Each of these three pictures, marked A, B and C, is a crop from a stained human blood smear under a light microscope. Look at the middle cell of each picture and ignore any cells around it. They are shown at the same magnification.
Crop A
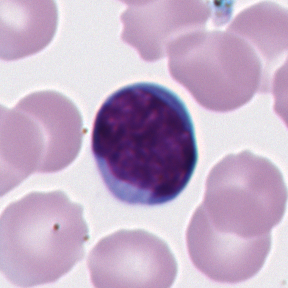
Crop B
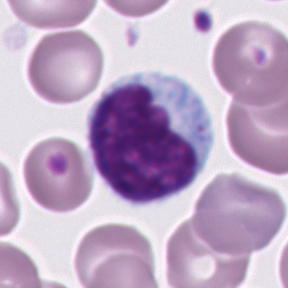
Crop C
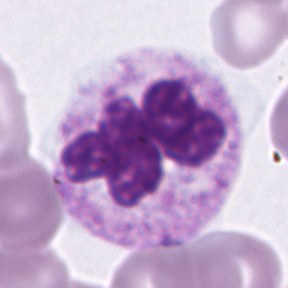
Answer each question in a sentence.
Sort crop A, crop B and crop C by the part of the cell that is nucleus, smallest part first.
The least filled comes first: C, B, A.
